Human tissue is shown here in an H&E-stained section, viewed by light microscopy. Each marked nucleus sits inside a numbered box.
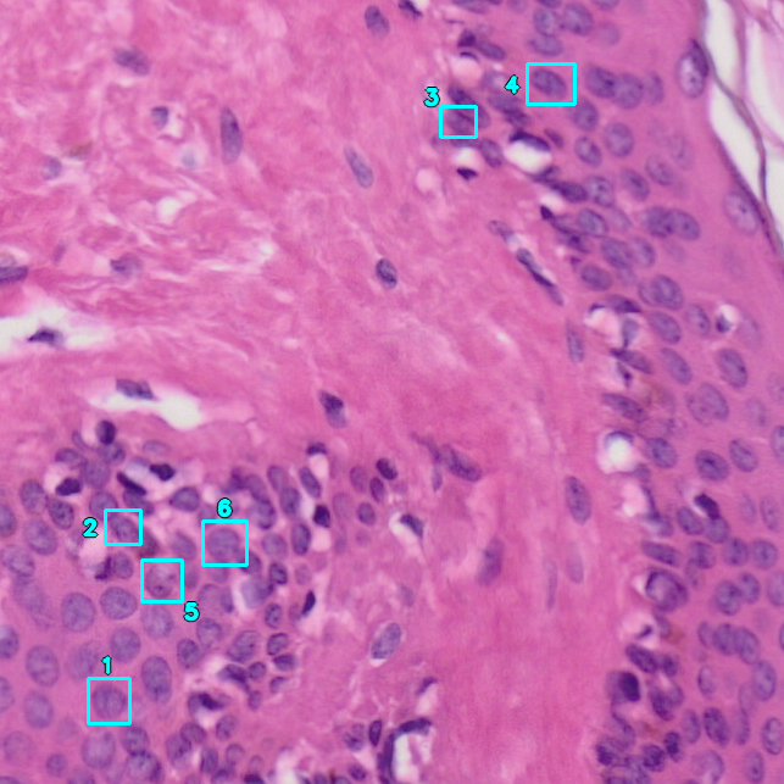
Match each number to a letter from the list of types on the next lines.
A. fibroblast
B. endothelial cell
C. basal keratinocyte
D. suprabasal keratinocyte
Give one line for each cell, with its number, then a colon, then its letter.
1: D
2: C
3: C
4: D
5: C
6: C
